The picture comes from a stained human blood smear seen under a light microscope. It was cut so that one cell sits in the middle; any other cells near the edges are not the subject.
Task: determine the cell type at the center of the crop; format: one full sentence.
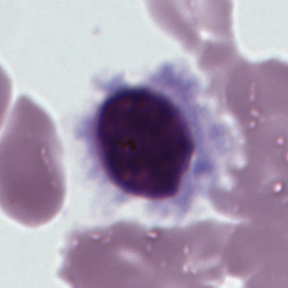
The cell shown in the center of this light-microscope crop is a hairy cell.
